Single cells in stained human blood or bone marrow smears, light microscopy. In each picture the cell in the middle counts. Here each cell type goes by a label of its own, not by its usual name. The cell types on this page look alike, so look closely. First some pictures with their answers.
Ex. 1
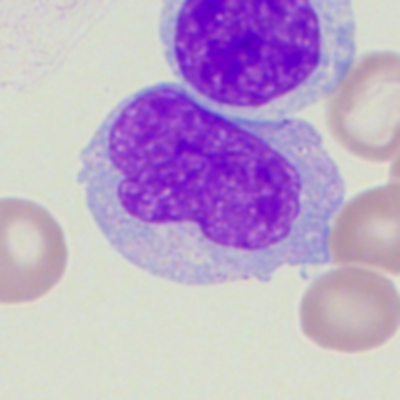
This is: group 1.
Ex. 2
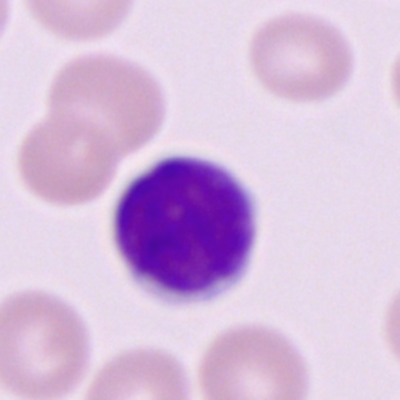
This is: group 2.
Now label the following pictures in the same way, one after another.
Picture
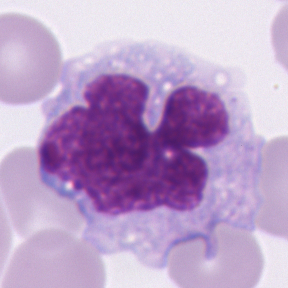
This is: group 1.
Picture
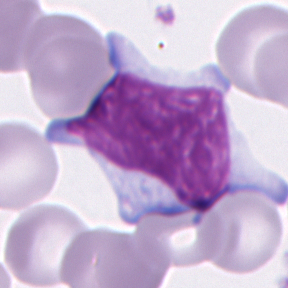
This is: group 2.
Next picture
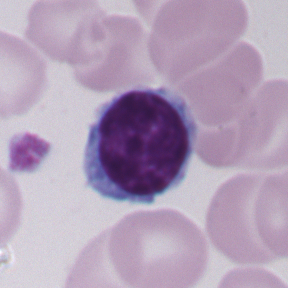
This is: group 2.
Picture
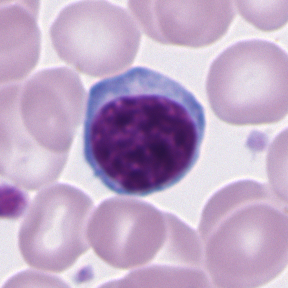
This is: group 2.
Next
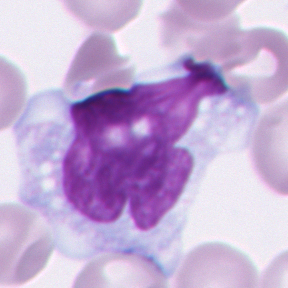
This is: group 1.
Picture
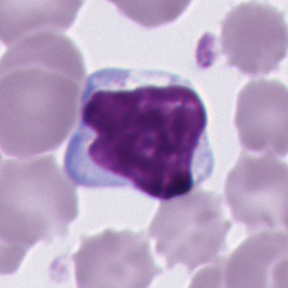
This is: group 2.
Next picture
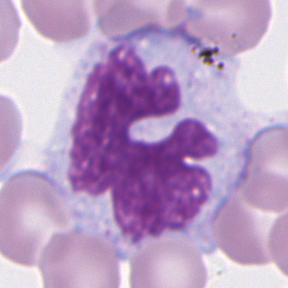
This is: group 1.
